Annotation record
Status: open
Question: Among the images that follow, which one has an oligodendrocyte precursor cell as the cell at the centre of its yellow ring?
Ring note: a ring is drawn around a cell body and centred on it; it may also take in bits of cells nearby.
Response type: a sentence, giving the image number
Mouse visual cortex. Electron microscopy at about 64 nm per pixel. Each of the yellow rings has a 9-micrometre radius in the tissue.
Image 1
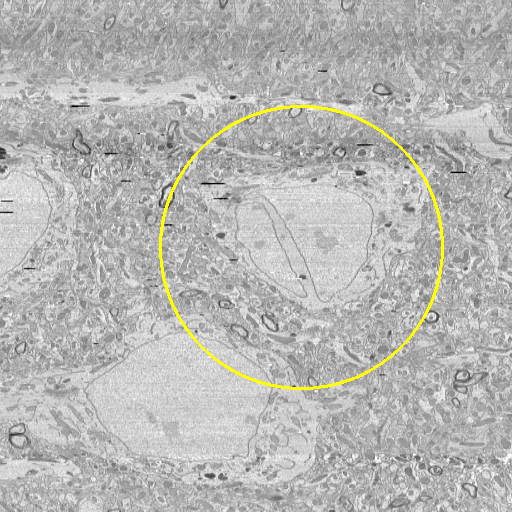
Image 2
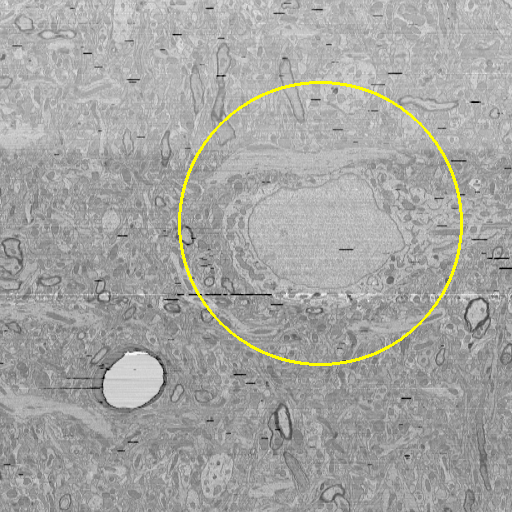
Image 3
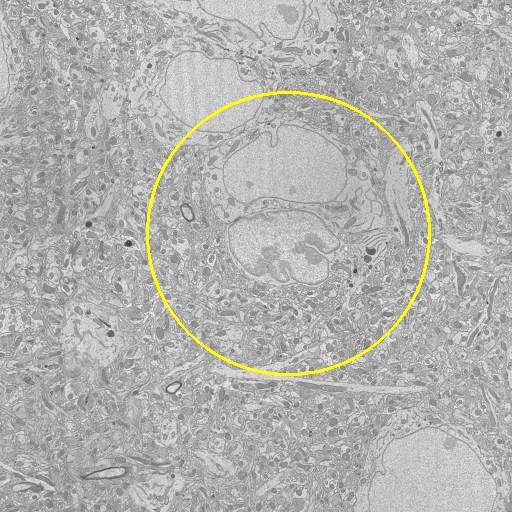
Image 3 shows it at the centre of its ring.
